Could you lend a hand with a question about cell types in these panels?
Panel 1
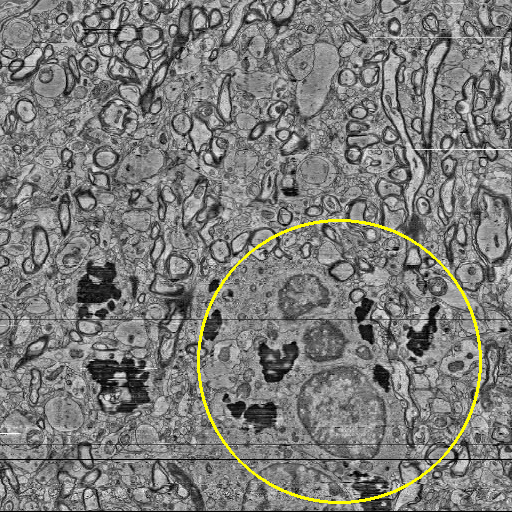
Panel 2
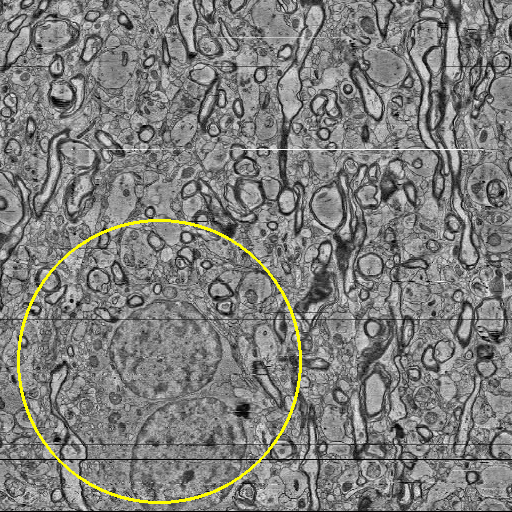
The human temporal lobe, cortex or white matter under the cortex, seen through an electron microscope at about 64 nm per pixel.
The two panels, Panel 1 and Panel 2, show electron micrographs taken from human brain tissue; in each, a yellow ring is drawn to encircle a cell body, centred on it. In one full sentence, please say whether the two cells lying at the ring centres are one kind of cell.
Yes, the cells at the ring centres in the two panels are one kind of cell.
